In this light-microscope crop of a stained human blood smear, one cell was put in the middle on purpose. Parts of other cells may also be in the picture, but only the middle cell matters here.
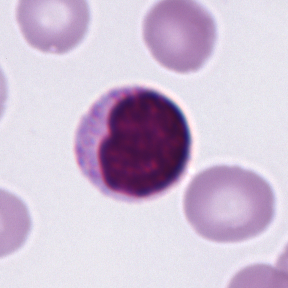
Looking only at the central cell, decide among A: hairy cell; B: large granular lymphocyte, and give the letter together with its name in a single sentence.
The centered cell is a large granular lymphocyte, which is why option B is right.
